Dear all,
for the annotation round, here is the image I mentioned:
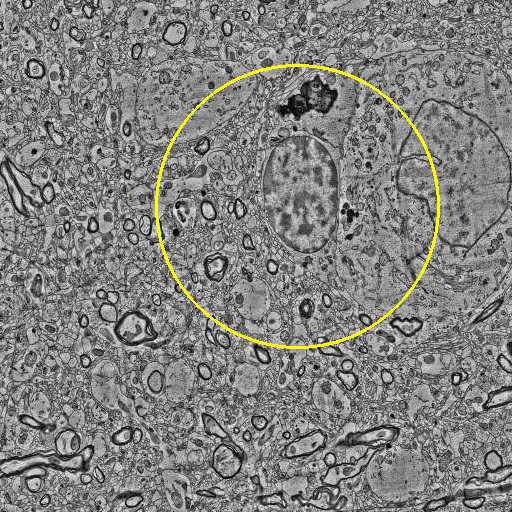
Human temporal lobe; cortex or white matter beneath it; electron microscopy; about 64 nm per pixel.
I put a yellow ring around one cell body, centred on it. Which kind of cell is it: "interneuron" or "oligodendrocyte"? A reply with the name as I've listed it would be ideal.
oligodendrocyte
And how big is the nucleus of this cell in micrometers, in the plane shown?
The nucleus is about 7 micrometres in length and 5 in width, clearly longer than it is wide in this plane.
